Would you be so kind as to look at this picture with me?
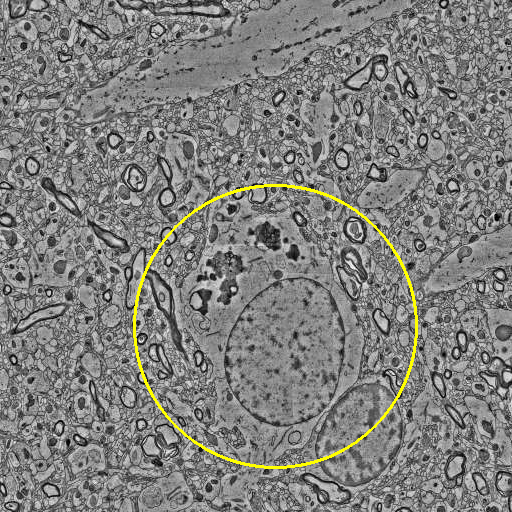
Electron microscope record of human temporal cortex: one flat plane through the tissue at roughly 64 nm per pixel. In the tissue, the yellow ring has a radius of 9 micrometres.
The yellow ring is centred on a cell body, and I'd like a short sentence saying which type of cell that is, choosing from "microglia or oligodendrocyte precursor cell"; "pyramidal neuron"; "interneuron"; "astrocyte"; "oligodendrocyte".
The cell body in the ring belongs to an astrocyte.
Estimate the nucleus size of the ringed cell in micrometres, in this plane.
Roughly 10 by 8 micrometres is the size of the nucleus in this plane.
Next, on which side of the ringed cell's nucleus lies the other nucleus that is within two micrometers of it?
The other nucleus can be seen to the lower right of it.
